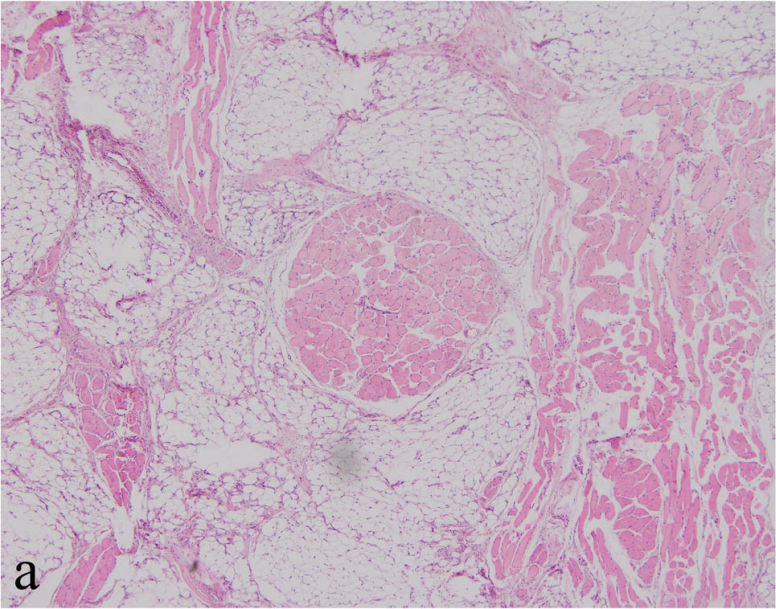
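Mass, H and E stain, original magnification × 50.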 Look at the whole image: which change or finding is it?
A: Adipocytes are seen diffusely infiltrating adipocytes the skeletal muscle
